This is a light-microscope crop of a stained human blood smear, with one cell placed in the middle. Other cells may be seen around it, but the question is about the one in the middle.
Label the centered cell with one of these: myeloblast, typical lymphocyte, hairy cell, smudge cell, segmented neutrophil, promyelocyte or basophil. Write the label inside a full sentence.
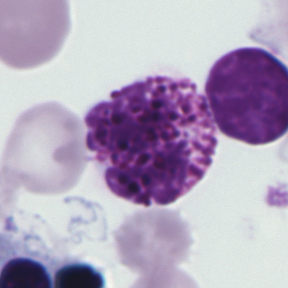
Of the cells in this crop, the central one is a basophil.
